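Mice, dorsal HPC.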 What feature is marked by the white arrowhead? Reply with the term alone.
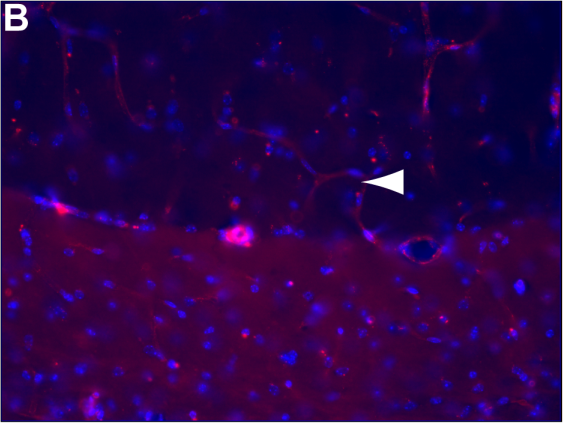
microvasculature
